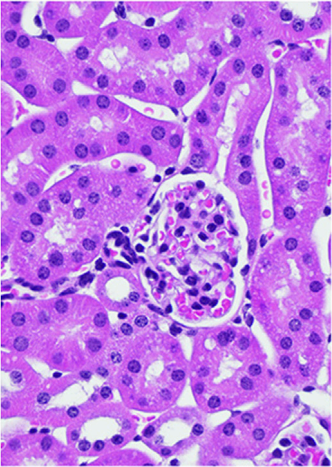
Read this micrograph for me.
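Renal cortex with a central glomerulus and surrounding tubules. The glomerulus shows a compact tuft of capillary loops with dark purple nuclei and red blood cells, bounded by a thin capsule and a narrow urinary space. Around it, tubules in cross and oblique section are lined by cuboidal epithelial cells with abundant pink cytoplasm and round, centrally placed dark nuclei. Many tubular cells show pale, clear spaces in the cytoplasm and toward the lumen, giving a finely vacuolated look. Thin interstitial spaces with flattened nuclei separate the tubules.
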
